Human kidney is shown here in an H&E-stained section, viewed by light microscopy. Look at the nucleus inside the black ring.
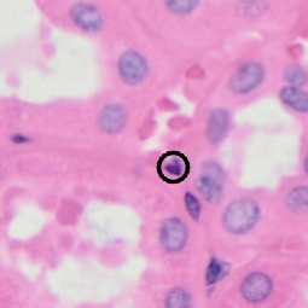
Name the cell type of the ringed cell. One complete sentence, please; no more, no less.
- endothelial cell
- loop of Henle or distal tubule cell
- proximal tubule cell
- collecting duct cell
In the tissue at hand, the ringed cell is an endothelial cell.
